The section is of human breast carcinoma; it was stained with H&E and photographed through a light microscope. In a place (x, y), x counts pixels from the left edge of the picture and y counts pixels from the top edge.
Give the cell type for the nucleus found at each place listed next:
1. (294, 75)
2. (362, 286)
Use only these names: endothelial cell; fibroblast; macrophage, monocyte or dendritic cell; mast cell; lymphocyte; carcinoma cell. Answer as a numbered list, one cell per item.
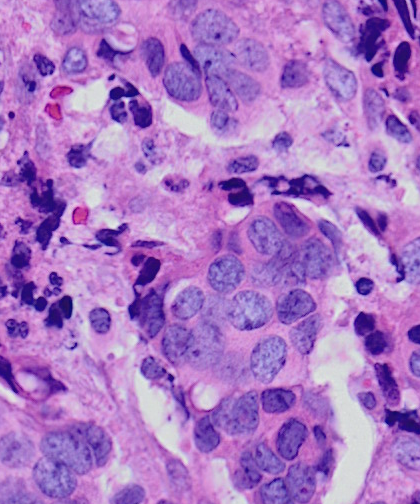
1. carcinoma cell
2. lymphocyte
